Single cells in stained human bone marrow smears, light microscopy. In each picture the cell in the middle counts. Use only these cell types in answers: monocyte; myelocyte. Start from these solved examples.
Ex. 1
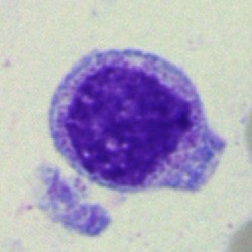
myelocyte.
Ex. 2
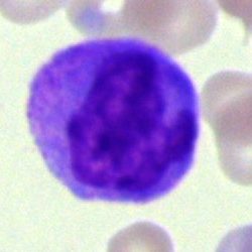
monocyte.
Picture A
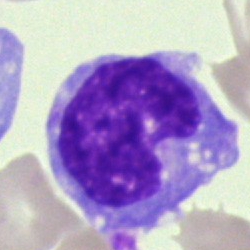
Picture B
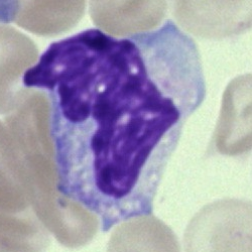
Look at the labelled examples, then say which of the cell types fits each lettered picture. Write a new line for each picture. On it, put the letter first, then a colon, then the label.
A: monocyte.
B: monocyte.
